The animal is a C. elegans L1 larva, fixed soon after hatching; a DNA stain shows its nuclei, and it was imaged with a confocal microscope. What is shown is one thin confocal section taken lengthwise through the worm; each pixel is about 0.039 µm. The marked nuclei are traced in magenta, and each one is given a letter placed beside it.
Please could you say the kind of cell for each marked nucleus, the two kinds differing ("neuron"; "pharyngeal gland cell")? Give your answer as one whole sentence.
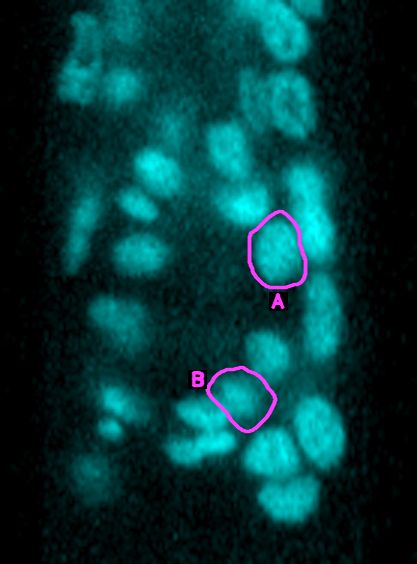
One is from a neuron, namely A, and the other, B, is from a pharyngeal gland cell.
